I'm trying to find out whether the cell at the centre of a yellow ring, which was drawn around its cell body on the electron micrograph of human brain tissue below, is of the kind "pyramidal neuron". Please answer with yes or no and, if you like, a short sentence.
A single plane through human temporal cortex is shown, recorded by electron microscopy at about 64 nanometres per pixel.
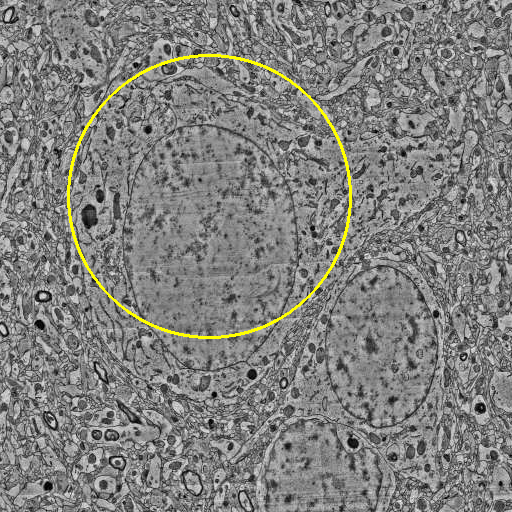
Yes, that cell is of the given kind.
